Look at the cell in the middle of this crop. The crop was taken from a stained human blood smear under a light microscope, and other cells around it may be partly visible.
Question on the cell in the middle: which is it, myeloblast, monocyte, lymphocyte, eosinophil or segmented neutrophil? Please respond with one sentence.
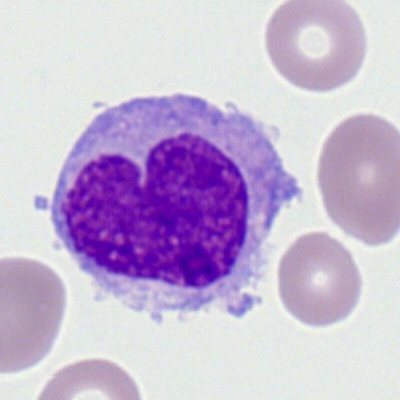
Present in the middle of the crop is a monocyte.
